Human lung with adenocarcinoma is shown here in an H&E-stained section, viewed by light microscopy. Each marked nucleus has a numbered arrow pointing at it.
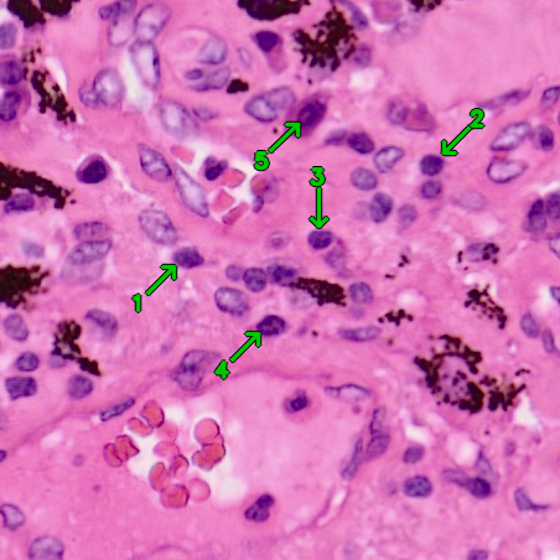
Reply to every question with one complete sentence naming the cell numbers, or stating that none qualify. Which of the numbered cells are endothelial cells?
By cell type, the numbered cells include no endothelial cells.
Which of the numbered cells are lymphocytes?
The cells with labels 1, 2 and 3 are lymphocytes.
